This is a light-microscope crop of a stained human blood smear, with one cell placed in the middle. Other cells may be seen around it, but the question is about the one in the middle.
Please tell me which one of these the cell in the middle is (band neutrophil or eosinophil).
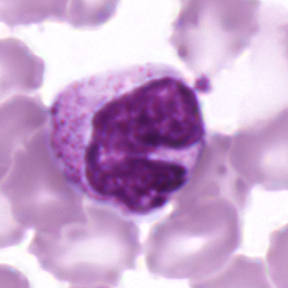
band neutrophil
